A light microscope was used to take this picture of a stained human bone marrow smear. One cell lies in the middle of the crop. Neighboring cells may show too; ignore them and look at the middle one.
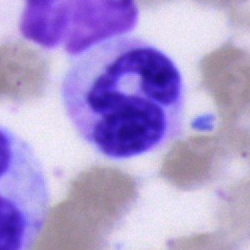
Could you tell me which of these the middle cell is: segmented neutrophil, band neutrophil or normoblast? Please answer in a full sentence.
Looking at the middle of the crop, the cell there is a segmented neutrophil.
